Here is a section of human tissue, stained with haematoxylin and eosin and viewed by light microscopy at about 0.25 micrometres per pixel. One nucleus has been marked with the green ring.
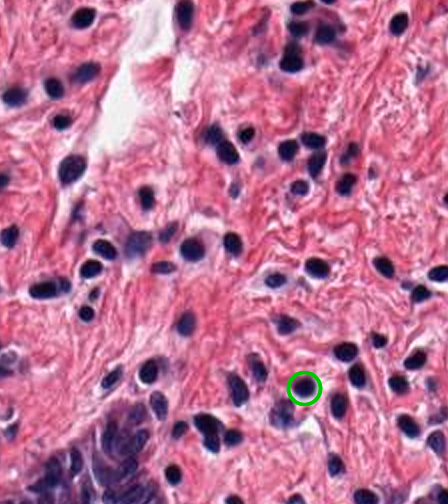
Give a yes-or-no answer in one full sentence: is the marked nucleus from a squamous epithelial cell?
No, the cell bearing the marked nucleus is not a squamous epithelial cell but a supporting cell.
